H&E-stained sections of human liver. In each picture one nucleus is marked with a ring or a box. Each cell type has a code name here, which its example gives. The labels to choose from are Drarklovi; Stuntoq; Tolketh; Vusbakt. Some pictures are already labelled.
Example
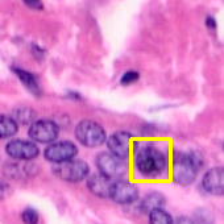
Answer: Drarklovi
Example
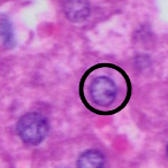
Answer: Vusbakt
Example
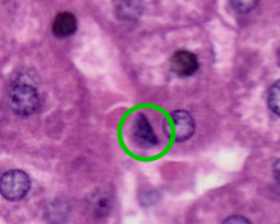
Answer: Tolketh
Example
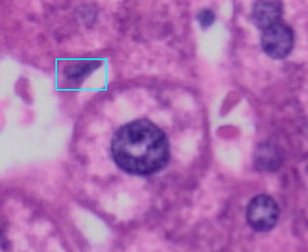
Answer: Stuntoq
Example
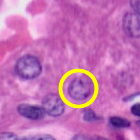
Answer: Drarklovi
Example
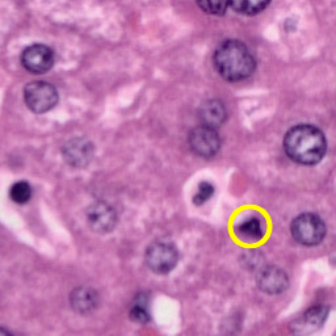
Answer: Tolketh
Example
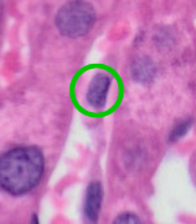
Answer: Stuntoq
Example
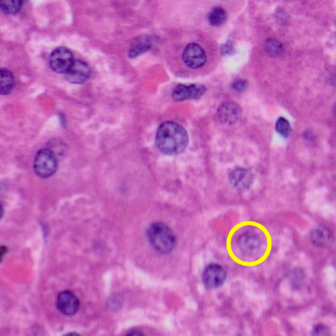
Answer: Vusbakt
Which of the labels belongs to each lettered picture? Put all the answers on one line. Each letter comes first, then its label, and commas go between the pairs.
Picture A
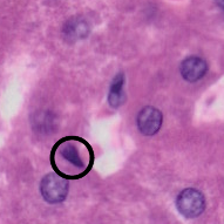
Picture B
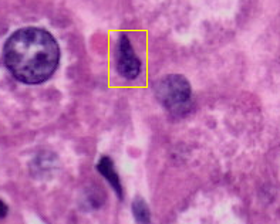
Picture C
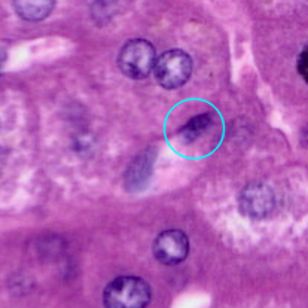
A Tolketh, B Tolketh, C Tolketh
